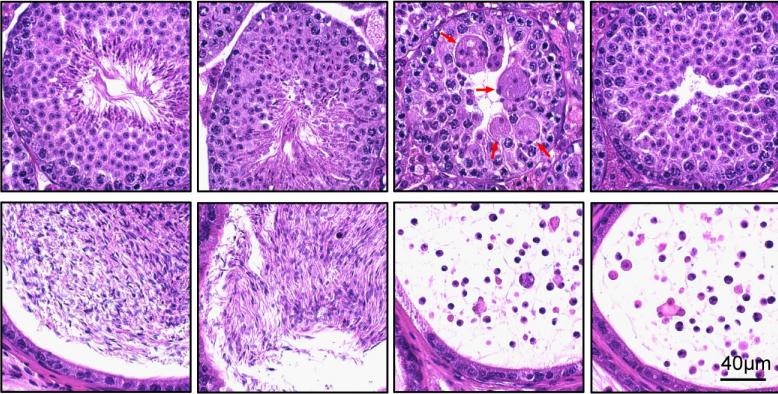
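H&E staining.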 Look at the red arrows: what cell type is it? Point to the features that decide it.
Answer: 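The arrowed cells are much larger than the surrounding germ cells. The arrowed cells contain several round nuclei within one cytoplasm. They lie free near the lumen of a seminiferous tubule.
Multinucleated giant cells.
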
